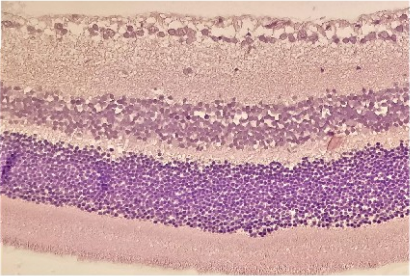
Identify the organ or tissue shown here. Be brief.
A: Retinal.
